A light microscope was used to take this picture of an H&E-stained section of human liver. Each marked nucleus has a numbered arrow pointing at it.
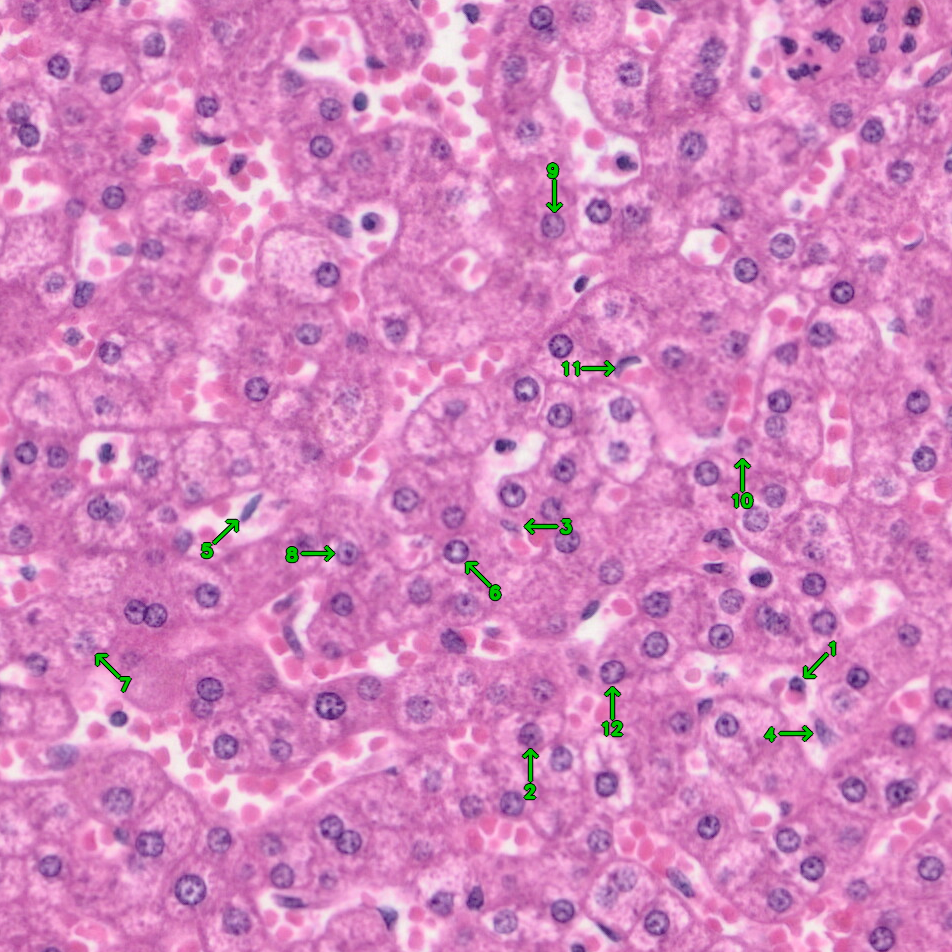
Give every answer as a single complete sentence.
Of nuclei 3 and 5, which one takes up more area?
Of the two, number 5 is bigger and takes up about 2 times the area of number 3.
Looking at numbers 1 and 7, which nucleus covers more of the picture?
Nucleus 7 covers more area, about 2 times as much as nucleus 1.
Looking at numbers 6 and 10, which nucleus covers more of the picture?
At about 2 times the area of nucleus 10, nucleus 6 is the larger of the two.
